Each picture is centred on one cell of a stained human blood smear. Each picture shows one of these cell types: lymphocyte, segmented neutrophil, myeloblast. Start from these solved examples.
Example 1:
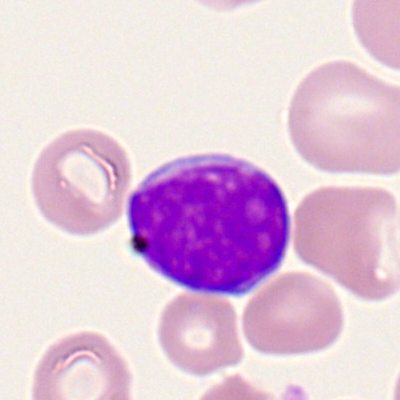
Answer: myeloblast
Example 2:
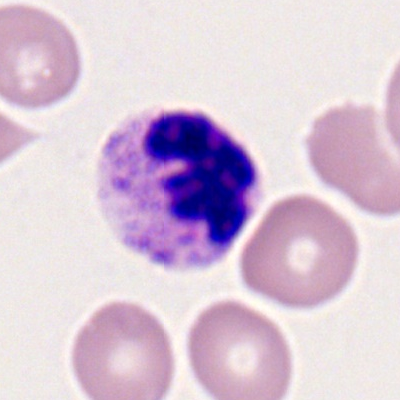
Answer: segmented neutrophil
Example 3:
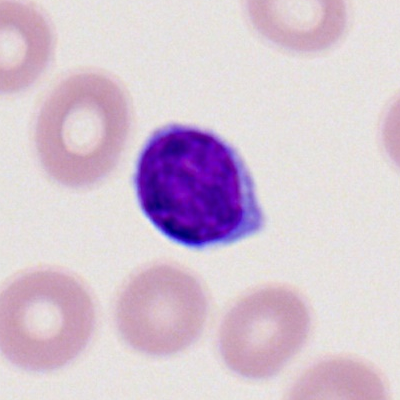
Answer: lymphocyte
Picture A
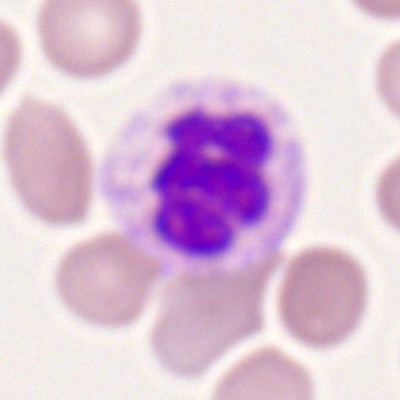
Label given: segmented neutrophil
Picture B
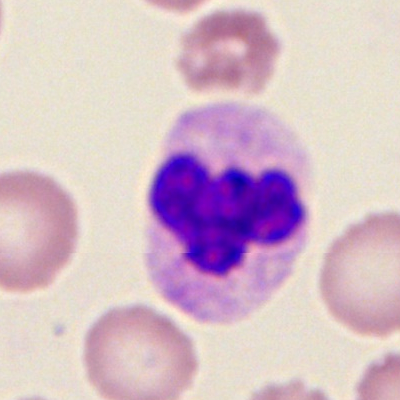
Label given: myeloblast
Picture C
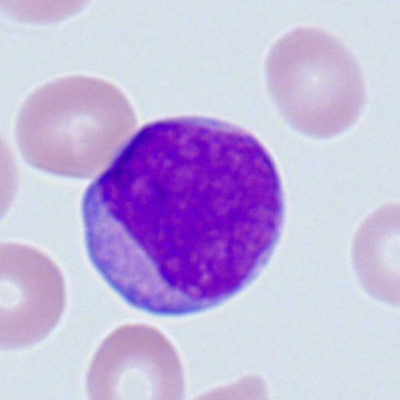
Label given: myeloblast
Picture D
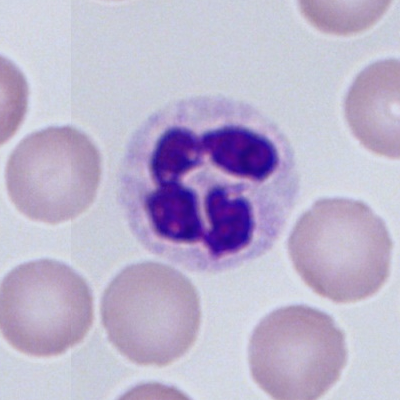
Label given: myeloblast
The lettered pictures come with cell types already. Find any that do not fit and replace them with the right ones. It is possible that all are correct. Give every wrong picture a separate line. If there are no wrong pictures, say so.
B should be segmented neutrophil, not myeloblast
D should be segmented neutrophil, not myeloblast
